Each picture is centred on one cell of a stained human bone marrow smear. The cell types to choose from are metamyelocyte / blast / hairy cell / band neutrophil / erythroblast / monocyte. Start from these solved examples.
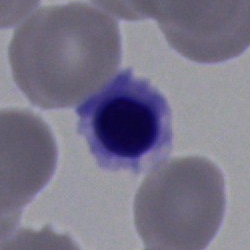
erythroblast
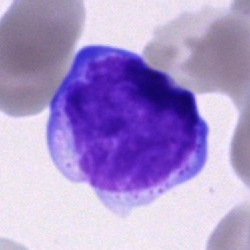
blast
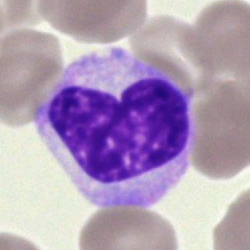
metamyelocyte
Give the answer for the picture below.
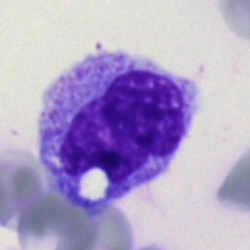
metamyelocyte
